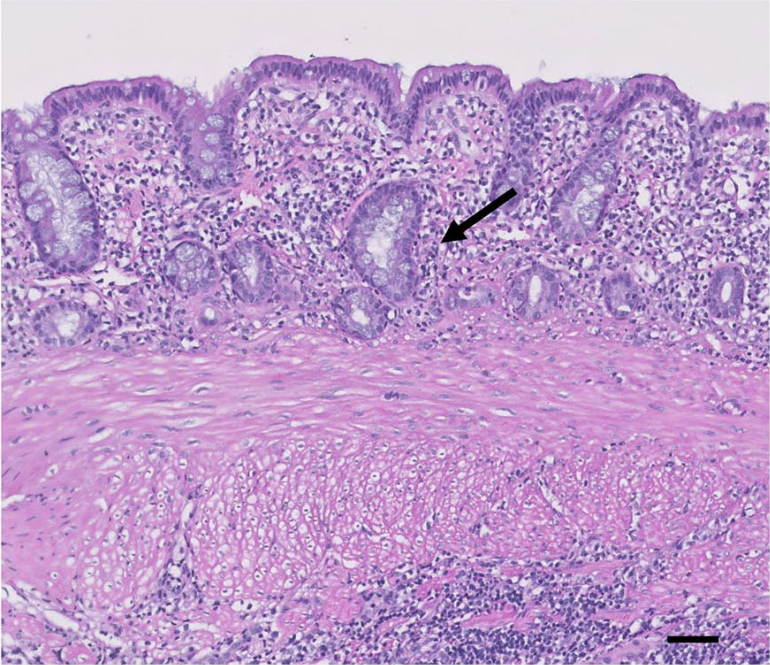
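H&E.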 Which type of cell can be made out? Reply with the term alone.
Columnar epithelial cells.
